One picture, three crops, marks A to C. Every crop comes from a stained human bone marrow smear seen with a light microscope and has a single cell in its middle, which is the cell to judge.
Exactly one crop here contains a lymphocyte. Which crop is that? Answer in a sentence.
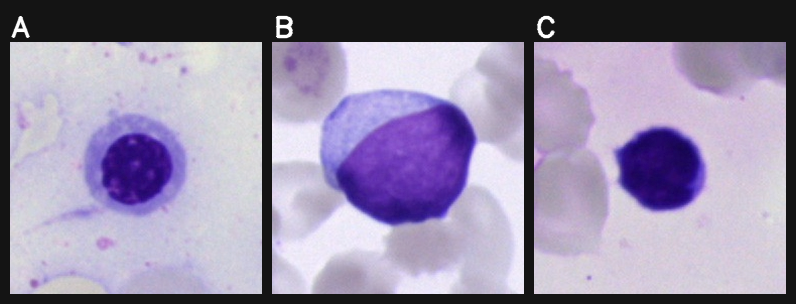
Crop C is the crop that shows a lymphocyte in its middle.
